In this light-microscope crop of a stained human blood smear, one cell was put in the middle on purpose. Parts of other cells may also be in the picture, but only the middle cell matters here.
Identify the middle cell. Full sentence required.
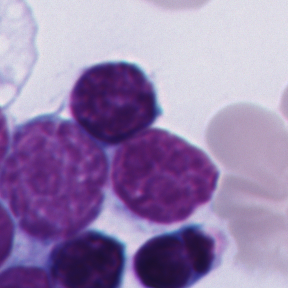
The cell in the middle of this crop is a myeloblast.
